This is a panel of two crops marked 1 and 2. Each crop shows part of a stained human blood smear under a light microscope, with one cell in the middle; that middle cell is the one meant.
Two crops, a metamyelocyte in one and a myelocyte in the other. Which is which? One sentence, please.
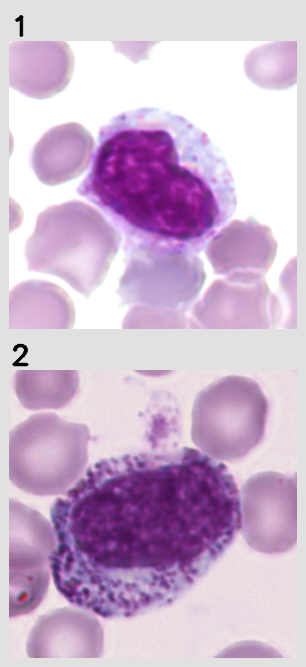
Crop 1 holds a metamyelocyte; a myelocyte occupies crop 2.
